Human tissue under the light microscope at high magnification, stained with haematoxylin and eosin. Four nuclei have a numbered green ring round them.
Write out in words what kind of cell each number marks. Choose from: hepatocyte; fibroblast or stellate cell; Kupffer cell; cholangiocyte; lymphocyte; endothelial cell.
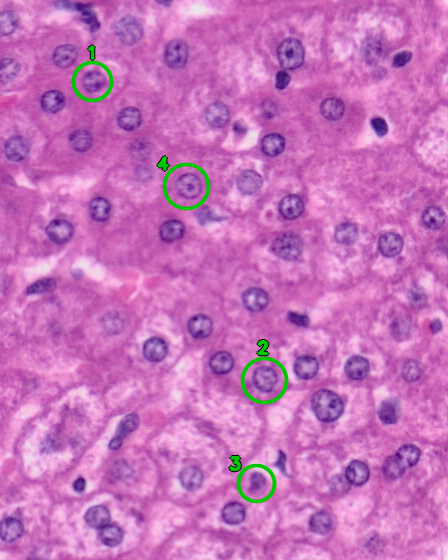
Cell 1 is a hepatocyte, cell 2 is a hepatocyte, cell 3 is a Kupffer cell and cell 4 is a hepatocyte.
